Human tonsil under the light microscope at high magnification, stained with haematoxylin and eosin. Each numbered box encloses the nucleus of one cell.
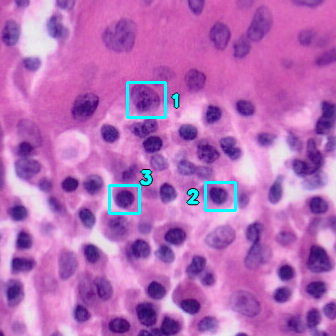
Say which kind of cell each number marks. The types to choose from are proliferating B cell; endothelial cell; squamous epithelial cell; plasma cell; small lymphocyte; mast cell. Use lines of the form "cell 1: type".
cell 1: squamous epithelial cell
cell 2: plasma cell
cell 3: plasma cell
